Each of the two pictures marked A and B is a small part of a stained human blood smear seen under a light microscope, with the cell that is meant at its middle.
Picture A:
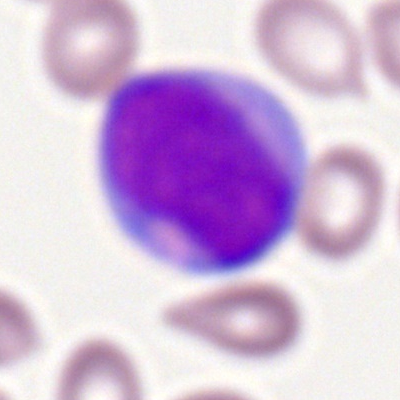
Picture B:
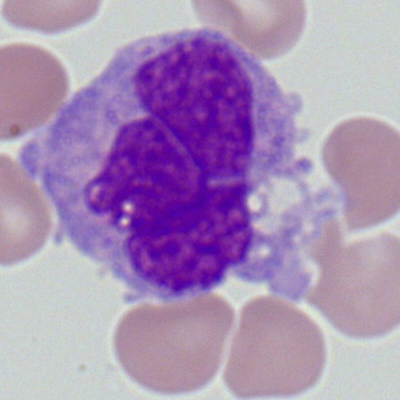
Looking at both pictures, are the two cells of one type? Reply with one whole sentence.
No. Picture A shows a myeloblast, but picture B shows a monocyte.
